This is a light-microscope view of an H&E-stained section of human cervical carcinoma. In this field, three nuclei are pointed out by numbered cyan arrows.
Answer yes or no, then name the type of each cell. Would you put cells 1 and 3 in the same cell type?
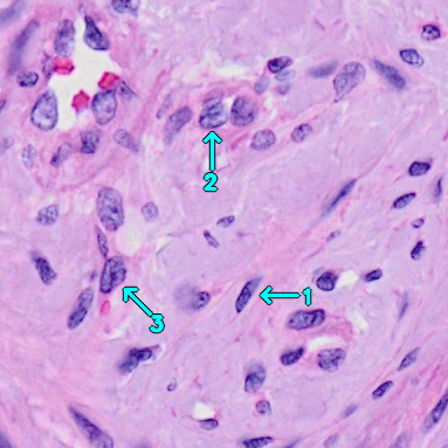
No, that's wrong; cell 1 is a fibroblast and cell 3 is an endothelial cell.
